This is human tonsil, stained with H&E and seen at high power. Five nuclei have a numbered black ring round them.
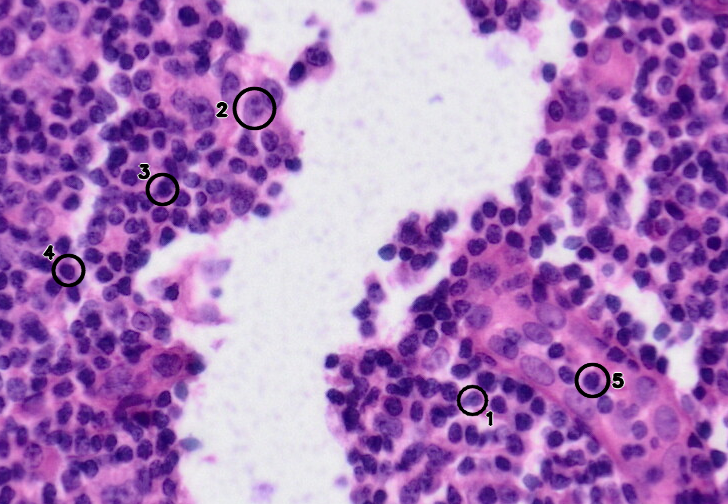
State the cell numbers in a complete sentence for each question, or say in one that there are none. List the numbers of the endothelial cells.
Exactly one numbered cell is an endothelial cell, and that cell is number 5.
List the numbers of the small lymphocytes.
In this section, the cells numbered 1, 3 and 4 are small lymphocytes.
